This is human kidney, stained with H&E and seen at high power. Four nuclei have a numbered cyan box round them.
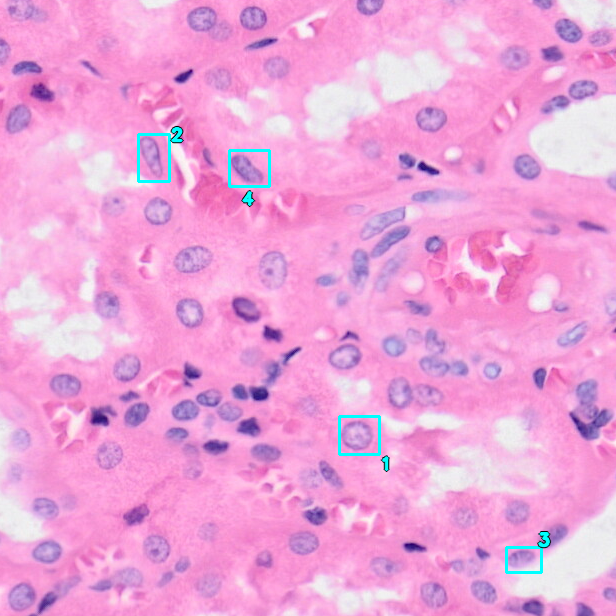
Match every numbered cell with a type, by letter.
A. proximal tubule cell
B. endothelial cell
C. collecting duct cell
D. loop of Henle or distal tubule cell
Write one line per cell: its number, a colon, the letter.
1: A
2: A
3: C
4: A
